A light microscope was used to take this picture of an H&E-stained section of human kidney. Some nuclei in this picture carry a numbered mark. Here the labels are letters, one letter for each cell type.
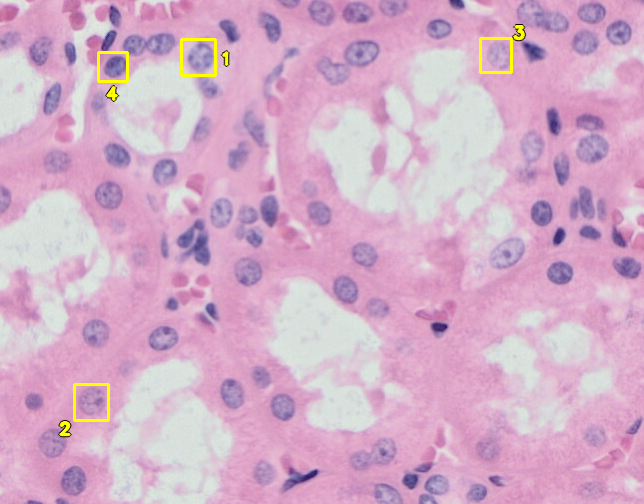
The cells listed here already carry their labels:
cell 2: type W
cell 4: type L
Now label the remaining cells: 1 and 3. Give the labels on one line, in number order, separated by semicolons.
type L; type W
